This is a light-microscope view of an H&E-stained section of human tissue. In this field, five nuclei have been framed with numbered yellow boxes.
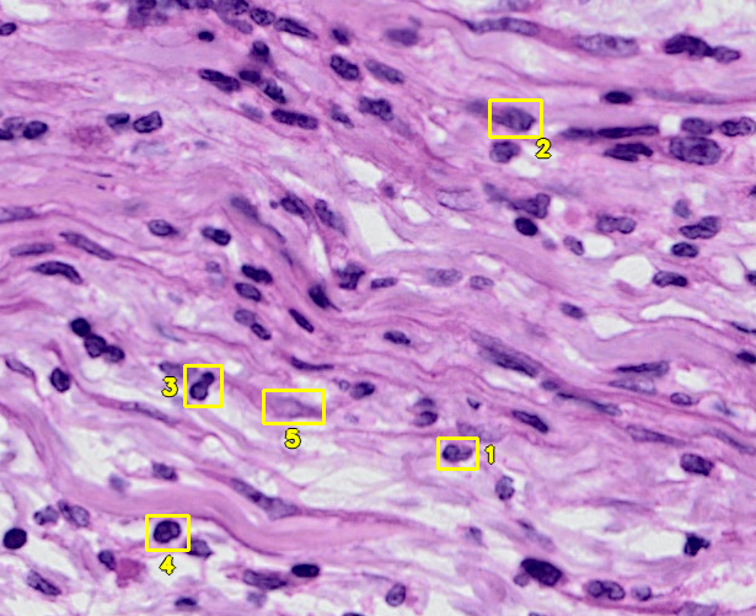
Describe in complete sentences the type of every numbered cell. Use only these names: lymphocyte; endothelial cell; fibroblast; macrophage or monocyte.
Cell 1 is a lymphocyte, cell 2 is a macrophage or monocyte, cell 3 is a lymphocyte, cell 4 is a lymphocyte and cell 5 is a fibroblast.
